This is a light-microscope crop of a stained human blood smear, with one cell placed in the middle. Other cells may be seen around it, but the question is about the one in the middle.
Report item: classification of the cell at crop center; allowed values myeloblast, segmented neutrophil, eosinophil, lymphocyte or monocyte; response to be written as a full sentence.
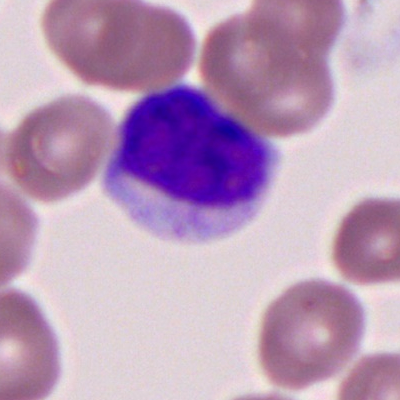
At the center of the crop sits a lymphocyte.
